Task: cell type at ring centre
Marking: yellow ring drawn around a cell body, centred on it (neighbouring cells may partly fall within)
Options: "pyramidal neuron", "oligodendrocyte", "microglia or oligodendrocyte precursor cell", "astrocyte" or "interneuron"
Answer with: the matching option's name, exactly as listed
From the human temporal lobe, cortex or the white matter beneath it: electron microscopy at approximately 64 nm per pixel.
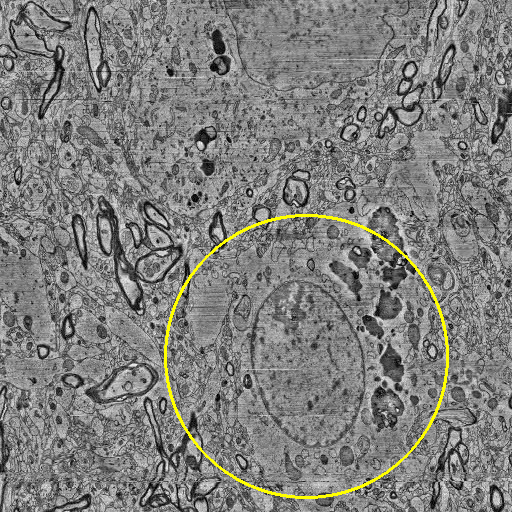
astrocyte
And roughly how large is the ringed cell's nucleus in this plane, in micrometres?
Roughly 11 by 7 micrometres; in this plane, clearly longer than it is wide.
